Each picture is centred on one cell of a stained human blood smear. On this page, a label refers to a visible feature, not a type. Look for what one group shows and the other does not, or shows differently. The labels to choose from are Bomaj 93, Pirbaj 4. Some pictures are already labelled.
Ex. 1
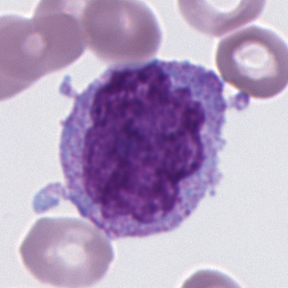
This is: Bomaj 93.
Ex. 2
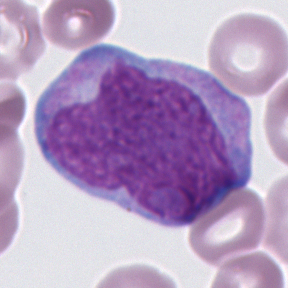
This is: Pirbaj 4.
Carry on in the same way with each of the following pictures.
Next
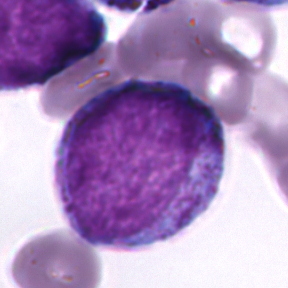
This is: Pirbaj 4.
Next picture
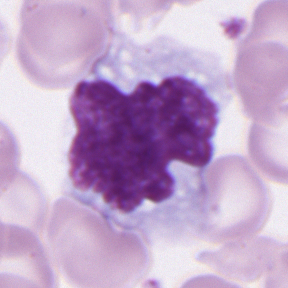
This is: Pirbaj 4.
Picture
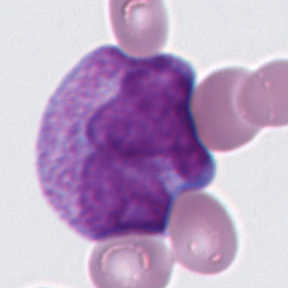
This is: Bomaj 93.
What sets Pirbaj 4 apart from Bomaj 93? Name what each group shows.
Pirbaj 4, no visible granules; Bomaj 93, many visible granules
